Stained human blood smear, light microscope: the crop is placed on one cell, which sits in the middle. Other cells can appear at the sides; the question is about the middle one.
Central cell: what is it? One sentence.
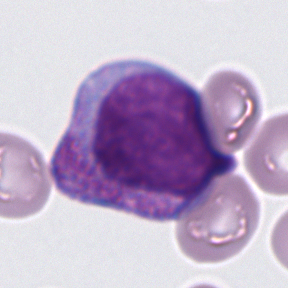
Within this crop, an atypical promyelocyte occupies the central position.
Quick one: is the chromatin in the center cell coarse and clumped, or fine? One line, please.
In this cell the chromatin is fine rather than coarsely clumped.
